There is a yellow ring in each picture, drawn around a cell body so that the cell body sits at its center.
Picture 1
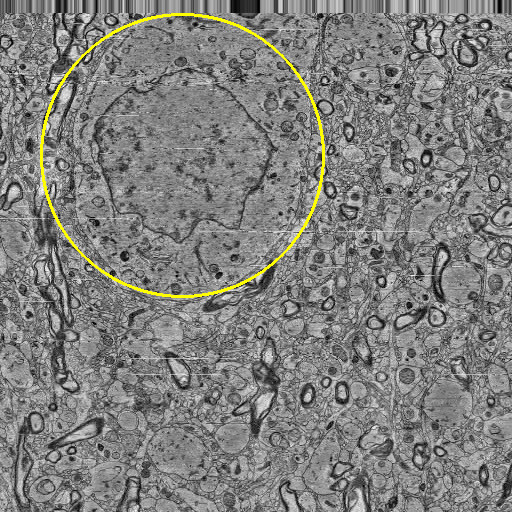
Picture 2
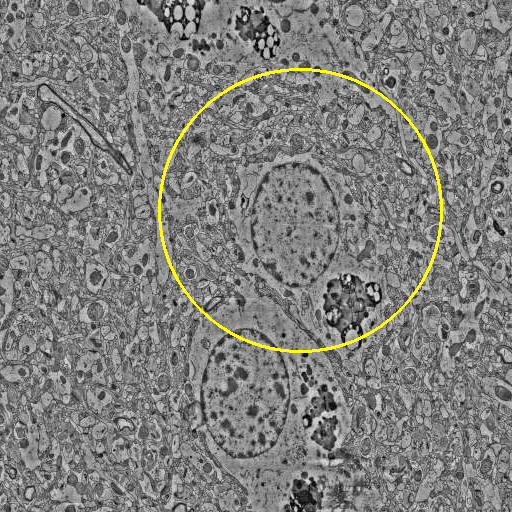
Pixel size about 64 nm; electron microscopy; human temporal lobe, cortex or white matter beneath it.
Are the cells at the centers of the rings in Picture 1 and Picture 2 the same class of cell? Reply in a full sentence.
No, the two cells are two classes of cell.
